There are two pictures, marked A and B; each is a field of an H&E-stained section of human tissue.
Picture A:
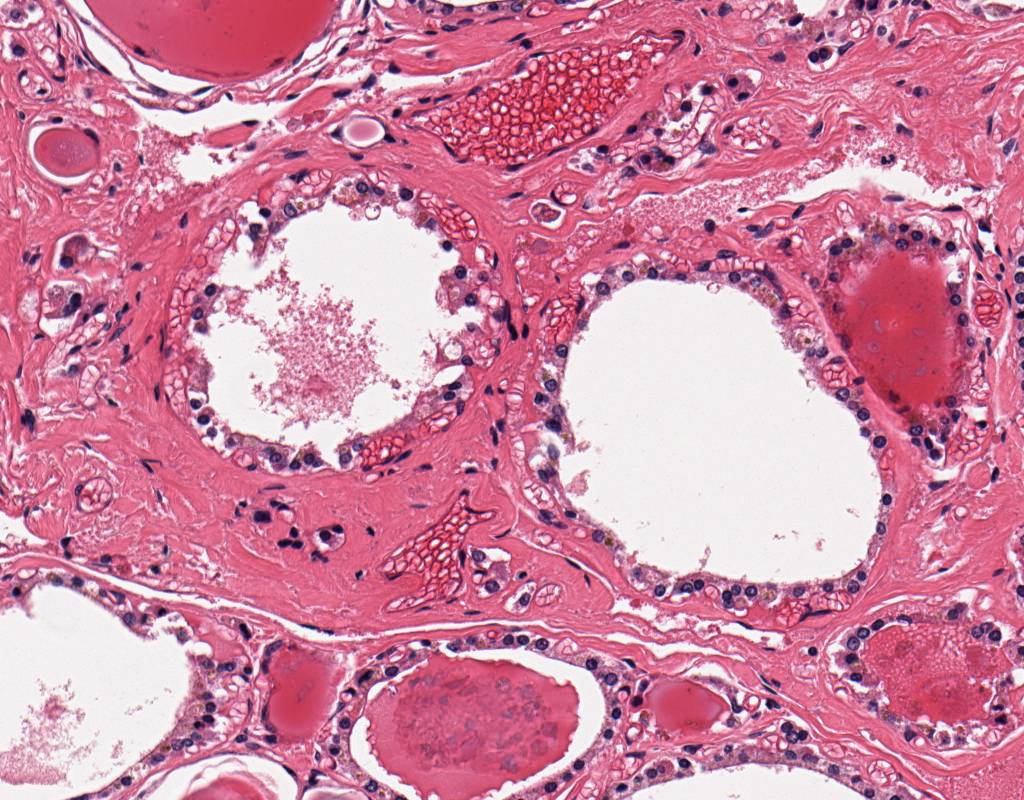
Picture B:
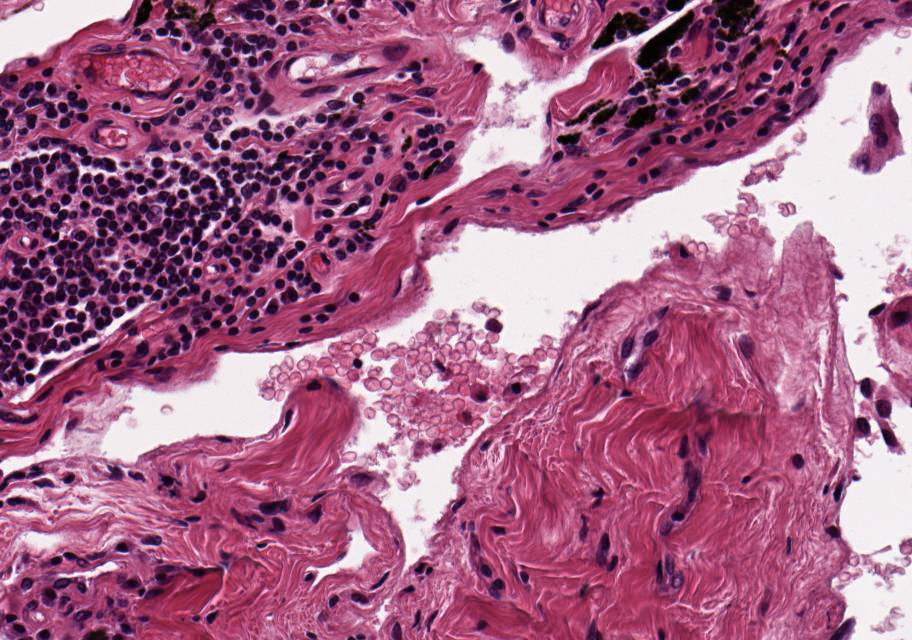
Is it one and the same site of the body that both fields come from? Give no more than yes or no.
no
